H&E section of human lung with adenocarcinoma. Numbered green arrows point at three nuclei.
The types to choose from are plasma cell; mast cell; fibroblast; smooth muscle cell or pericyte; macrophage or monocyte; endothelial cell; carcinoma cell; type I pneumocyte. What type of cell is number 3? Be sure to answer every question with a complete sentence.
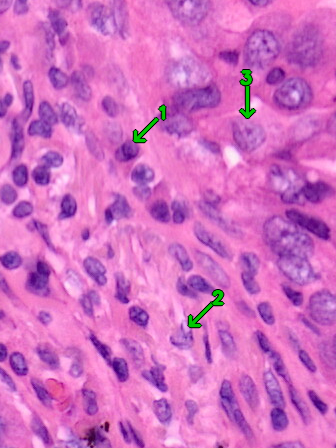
The cell pointed out by number 3 is a carcinoma cell.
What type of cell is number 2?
Among the marked cells, number 2 is a fibroblast.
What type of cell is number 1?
The one numbered 1 among the marked cells is a plasma cell.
